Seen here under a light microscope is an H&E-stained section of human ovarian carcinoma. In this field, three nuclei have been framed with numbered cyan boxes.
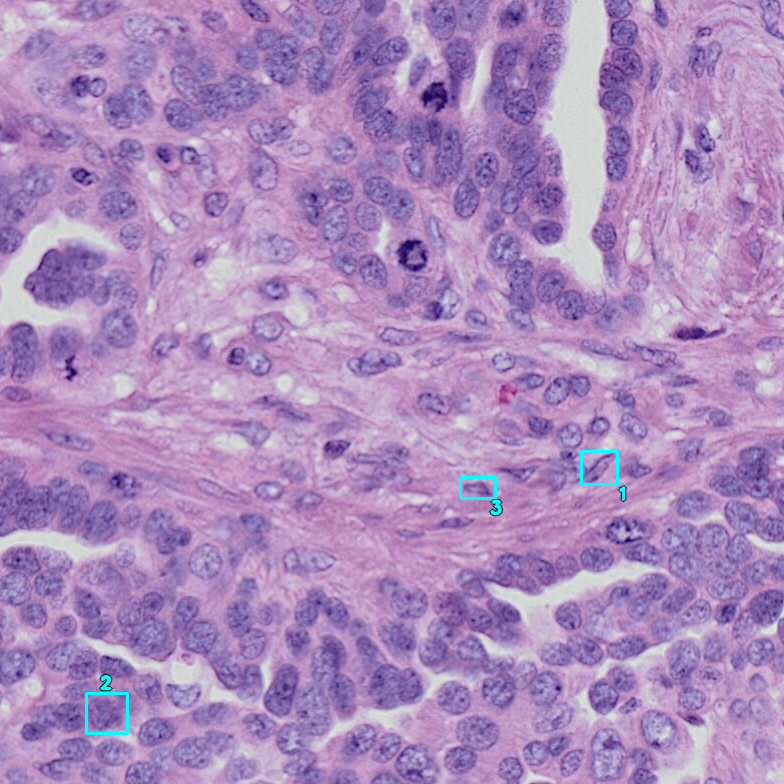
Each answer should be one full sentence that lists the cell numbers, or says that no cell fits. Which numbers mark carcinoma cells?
Only nucleus 2 belongs to a carcinoma cell; the other numbered nuclei do not.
